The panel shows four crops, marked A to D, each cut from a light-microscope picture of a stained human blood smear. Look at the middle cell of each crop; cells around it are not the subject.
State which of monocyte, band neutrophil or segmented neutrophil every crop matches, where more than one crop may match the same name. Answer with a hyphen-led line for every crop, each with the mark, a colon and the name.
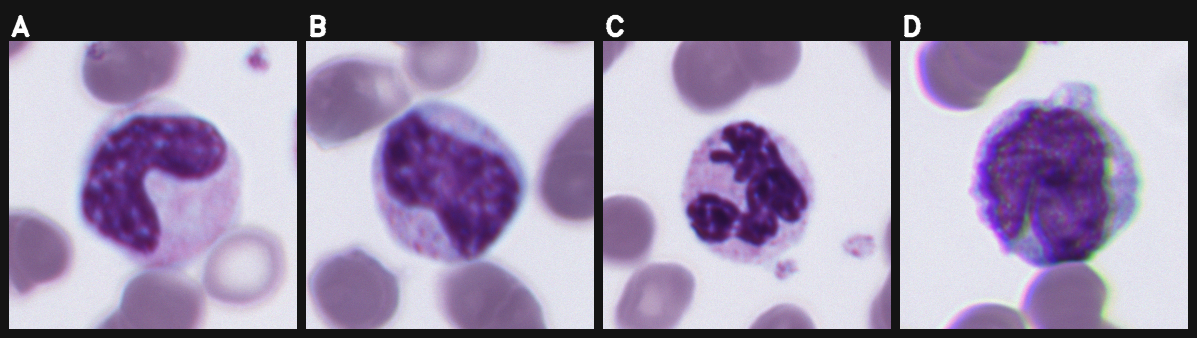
- A: band neutrophil
- B: band neutrophil
- C: segmented neutrophil
- D: monocyte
